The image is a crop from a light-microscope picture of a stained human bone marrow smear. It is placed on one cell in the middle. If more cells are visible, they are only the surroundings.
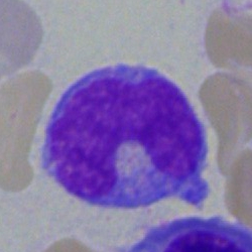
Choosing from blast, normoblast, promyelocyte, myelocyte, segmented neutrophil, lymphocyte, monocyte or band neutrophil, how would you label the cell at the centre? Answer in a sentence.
In the middle of this smear crop, the cell is a monocyte.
